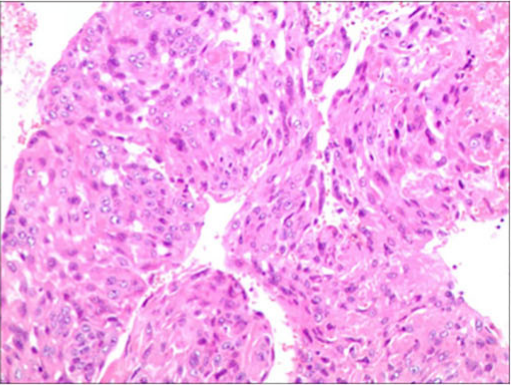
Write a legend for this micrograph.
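Malignant tumor cells arranged in solid, rounded nests separated by narrow clefts and thin septa. The cells are large and polygonal with abundant pale pink cytoplasm and vesicular nuclei carrying prominent nucleoli. Nuclear size and shape vary from cell to cell, and a few darker, more irregular nuclei are scattered among them.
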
